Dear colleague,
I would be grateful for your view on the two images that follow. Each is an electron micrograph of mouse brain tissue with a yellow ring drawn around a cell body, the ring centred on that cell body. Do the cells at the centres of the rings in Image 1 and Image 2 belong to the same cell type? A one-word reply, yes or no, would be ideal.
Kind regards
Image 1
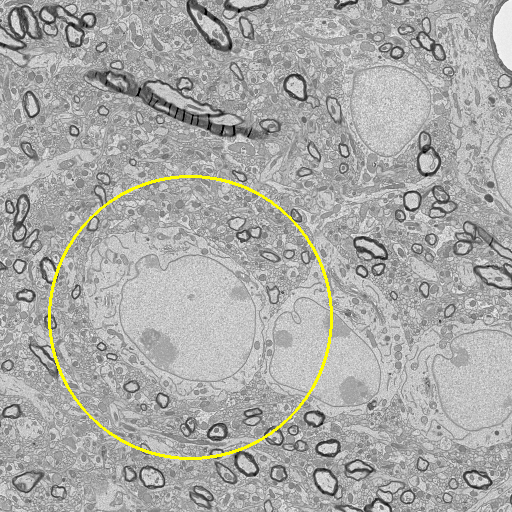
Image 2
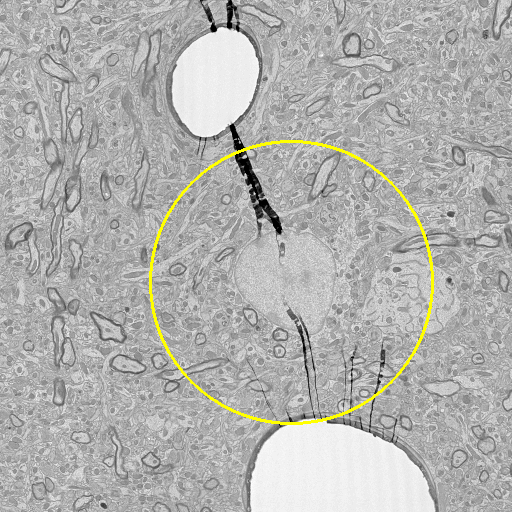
no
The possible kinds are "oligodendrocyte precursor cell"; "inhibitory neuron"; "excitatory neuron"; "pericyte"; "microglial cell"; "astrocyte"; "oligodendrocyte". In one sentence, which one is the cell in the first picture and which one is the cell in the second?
The cell ringed in the second picture is an astrocyte, whereas the one ringed in the first is an excitatory neuron.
